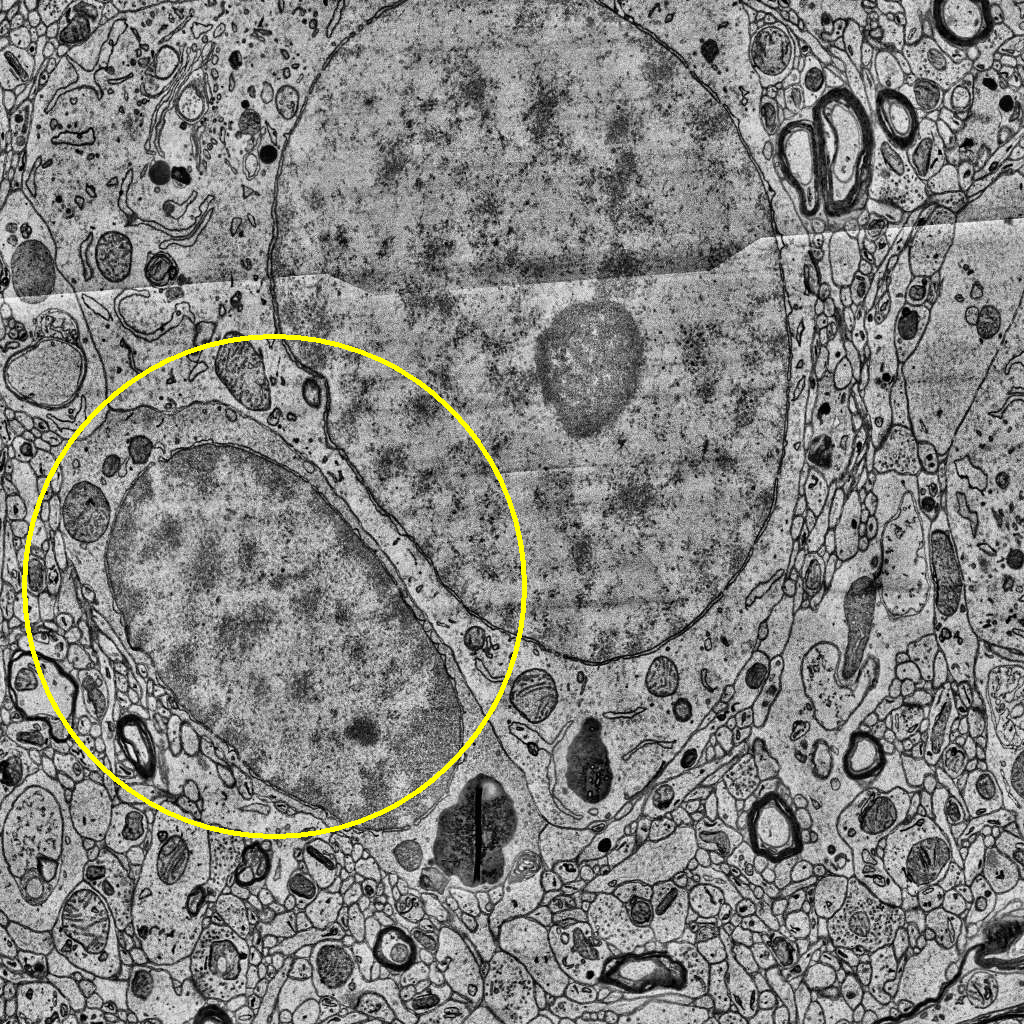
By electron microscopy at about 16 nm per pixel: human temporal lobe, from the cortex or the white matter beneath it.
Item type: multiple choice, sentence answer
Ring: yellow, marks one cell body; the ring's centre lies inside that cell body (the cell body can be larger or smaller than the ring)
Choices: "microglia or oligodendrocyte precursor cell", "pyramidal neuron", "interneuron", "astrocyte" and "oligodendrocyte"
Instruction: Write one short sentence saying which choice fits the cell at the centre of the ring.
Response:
The centre of this ring lies on an oligodendrocyte.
